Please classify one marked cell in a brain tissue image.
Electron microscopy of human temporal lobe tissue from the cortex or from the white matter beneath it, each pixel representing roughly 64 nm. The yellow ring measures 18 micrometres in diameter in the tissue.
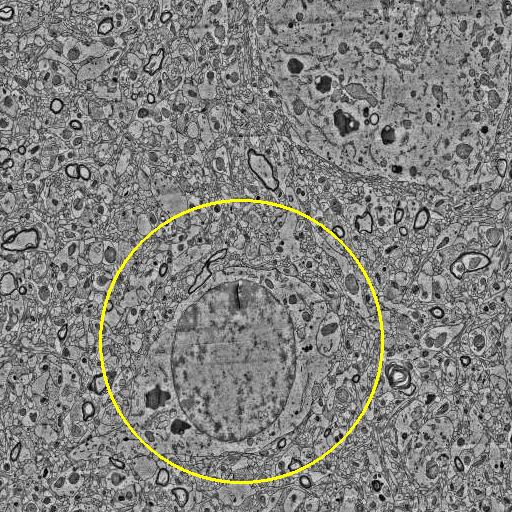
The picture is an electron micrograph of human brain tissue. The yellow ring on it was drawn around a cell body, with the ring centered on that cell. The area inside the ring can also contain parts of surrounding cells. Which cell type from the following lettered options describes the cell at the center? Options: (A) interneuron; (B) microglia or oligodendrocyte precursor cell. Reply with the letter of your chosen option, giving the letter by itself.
A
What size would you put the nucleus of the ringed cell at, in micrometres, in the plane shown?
Roughly 10 micrometres by 8 micrometres, in this plane.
